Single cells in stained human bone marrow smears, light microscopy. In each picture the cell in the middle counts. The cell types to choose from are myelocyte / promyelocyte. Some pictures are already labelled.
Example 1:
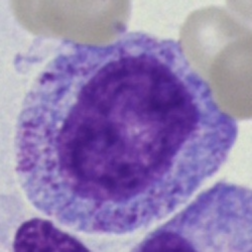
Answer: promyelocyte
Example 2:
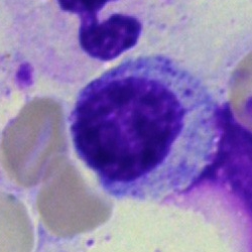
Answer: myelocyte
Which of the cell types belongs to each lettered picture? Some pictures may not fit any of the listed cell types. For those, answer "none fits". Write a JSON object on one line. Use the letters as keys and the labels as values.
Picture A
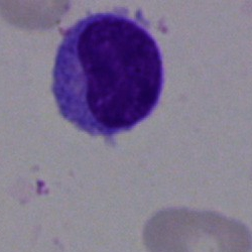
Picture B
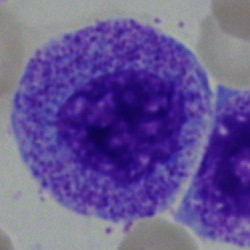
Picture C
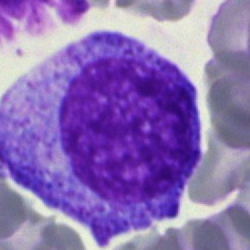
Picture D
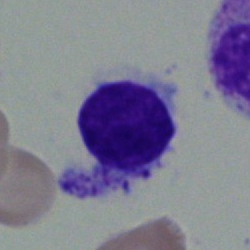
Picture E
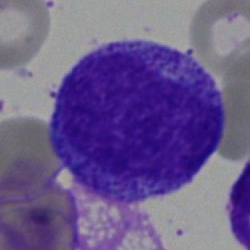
{"A": "none fits", "B": "promyelocyte", "C": "promyelocyte", "D": "none fits", "E": "promyelocyte"}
